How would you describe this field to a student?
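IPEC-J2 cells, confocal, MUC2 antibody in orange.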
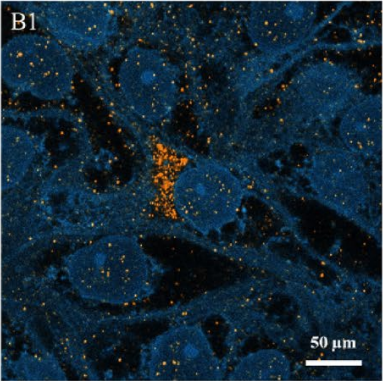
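The cells vary in shape: some are elongated or spindle-like and others are polygonal. Their cytoplasm and oval nuclei are shown in blue, and dark gaps lie between some of the cells. Fine orange dots are scattered sparsely over the cells. Near the centre, one dense cluster of orange granules lies between and against neighbouring cells.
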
